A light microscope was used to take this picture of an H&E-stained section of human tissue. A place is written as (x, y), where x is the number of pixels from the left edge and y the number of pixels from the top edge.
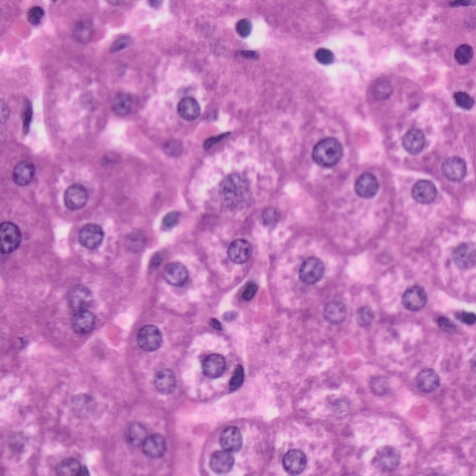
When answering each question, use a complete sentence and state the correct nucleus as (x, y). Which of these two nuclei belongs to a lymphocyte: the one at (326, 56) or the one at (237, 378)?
It is the nucleus at (326, 56), not the other one, that belongs to a lymphocyte.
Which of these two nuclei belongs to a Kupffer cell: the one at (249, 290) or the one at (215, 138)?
The nucleus at (249, 290) is the one of the two that belongs to a Kupffer cell.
